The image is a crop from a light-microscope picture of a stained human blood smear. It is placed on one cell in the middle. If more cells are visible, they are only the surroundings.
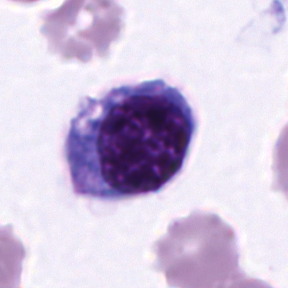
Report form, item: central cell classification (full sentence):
Classified as a plasma cell is the cell in the middle of this crop.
